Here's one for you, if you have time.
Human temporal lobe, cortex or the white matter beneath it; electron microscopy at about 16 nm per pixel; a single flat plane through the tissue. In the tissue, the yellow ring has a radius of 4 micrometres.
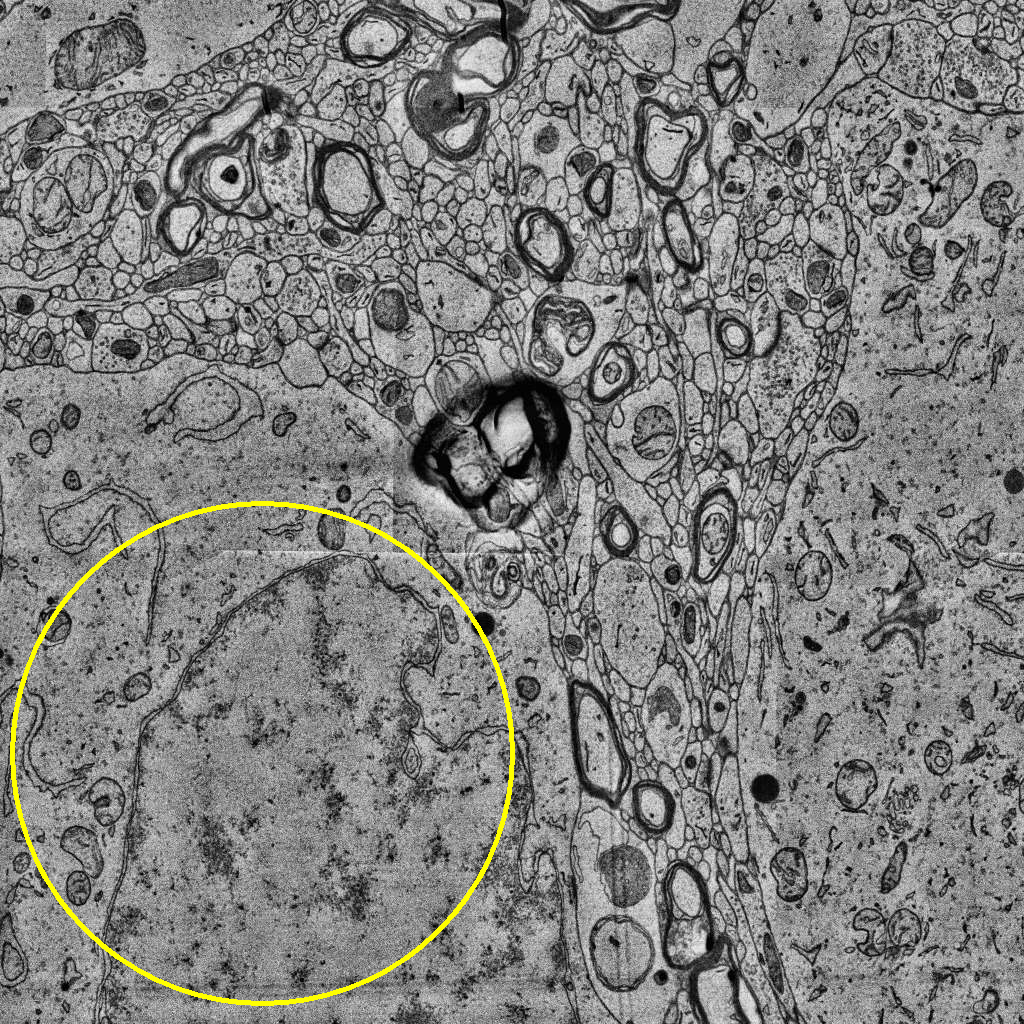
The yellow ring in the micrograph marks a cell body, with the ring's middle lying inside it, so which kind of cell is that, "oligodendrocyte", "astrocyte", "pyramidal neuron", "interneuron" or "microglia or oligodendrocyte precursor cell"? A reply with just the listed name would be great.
interneuron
